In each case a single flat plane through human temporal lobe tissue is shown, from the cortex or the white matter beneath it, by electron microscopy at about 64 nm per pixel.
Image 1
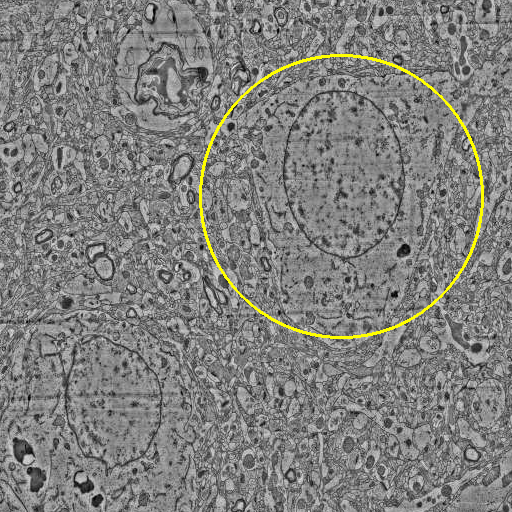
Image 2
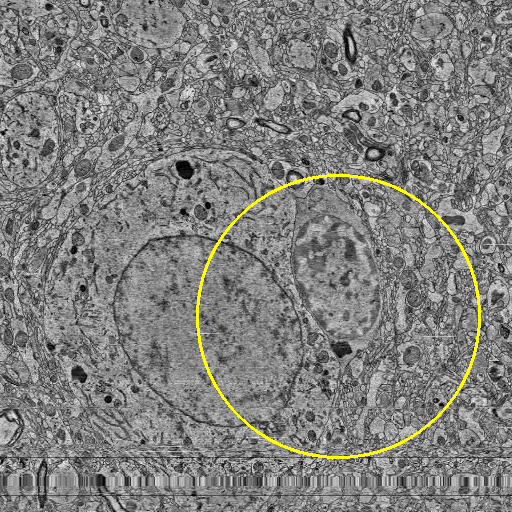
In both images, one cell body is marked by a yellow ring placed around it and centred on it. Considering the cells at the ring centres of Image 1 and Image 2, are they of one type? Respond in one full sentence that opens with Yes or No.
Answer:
No, two types apply to the ring-centred cells of Image 1 and Image 2.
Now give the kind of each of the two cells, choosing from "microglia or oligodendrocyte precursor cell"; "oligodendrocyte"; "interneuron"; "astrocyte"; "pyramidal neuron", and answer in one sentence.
The cell in the first picture is a pyramidal neuron, and the cell in the second is an oligodendrocyte.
